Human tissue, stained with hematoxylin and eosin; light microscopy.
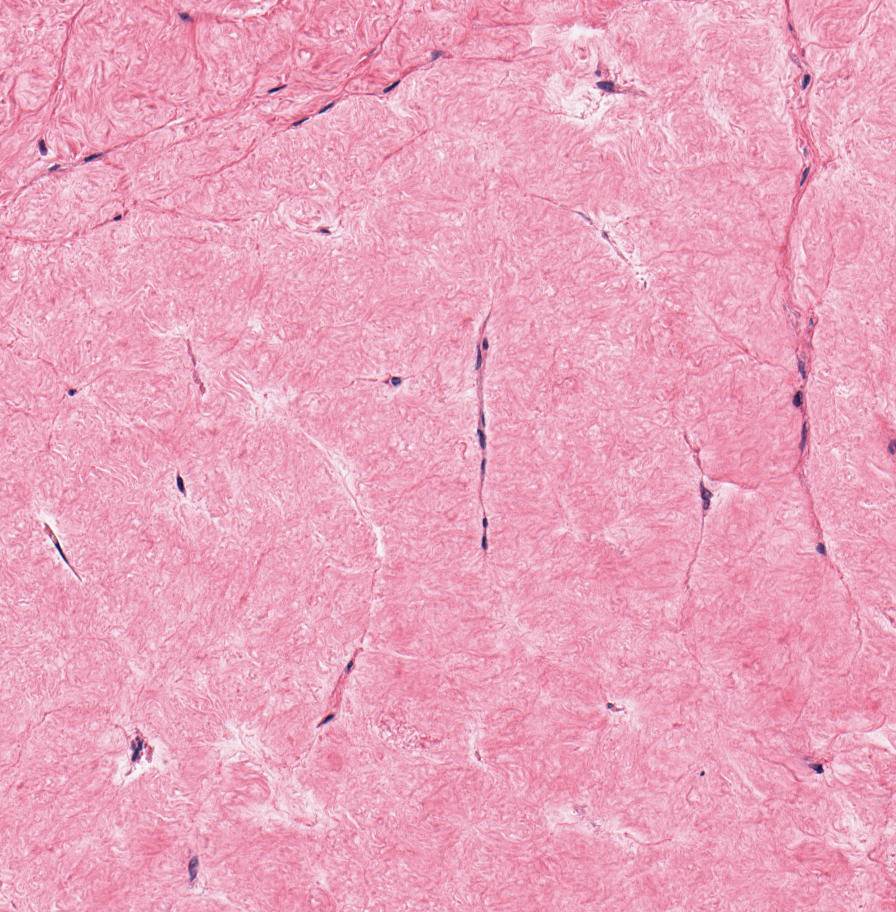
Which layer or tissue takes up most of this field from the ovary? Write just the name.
corpus albicans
